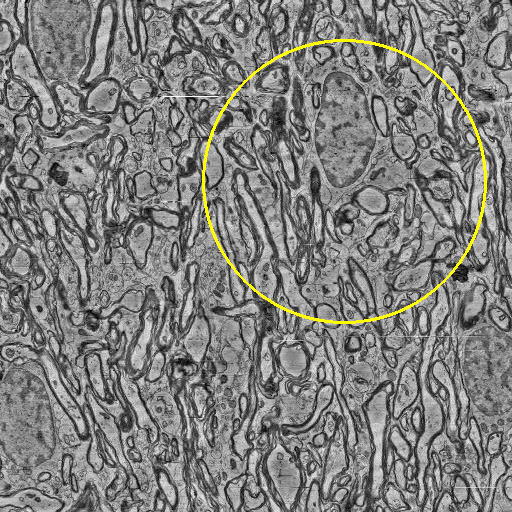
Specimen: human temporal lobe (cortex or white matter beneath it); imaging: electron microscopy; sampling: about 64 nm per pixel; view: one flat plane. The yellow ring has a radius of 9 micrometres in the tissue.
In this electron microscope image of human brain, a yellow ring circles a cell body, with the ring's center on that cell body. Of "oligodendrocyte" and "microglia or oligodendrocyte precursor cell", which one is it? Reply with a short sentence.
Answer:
It is a microglial cell or oligodendrocyte precursor cell at the center of the ring.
